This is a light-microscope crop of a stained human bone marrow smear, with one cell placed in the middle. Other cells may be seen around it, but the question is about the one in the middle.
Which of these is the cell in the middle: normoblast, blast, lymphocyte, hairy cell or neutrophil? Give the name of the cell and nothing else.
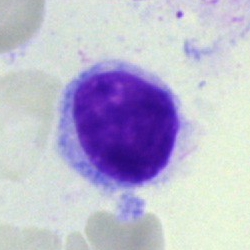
hairy cell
